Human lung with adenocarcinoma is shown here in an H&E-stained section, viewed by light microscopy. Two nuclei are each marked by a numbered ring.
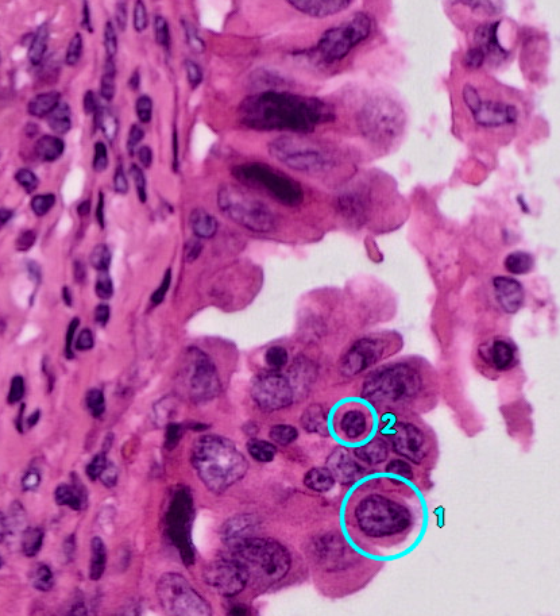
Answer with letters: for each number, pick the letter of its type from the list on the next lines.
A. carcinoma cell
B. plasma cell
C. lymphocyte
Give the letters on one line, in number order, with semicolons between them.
A; C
